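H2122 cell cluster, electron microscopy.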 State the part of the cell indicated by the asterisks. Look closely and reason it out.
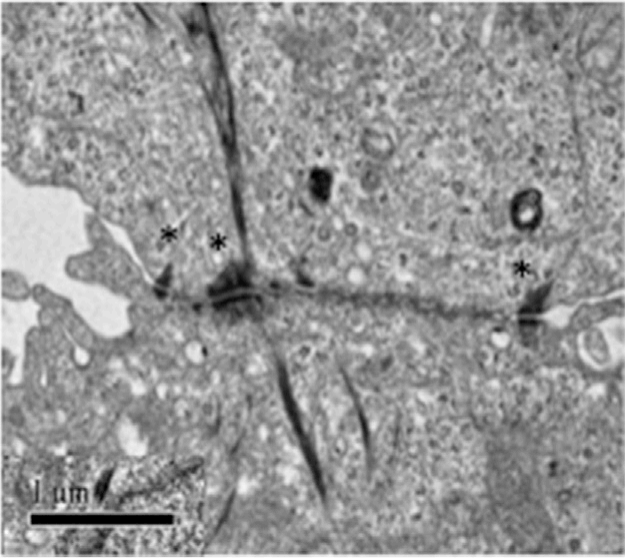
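Electron-dense plaques sit on both sides of the membrane where two cells meet. Dark filament bundles run from the plaques into the cytoplasm.
Answer: desmosomes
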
